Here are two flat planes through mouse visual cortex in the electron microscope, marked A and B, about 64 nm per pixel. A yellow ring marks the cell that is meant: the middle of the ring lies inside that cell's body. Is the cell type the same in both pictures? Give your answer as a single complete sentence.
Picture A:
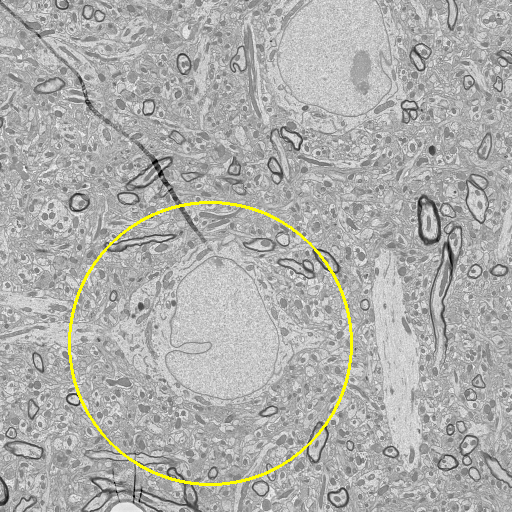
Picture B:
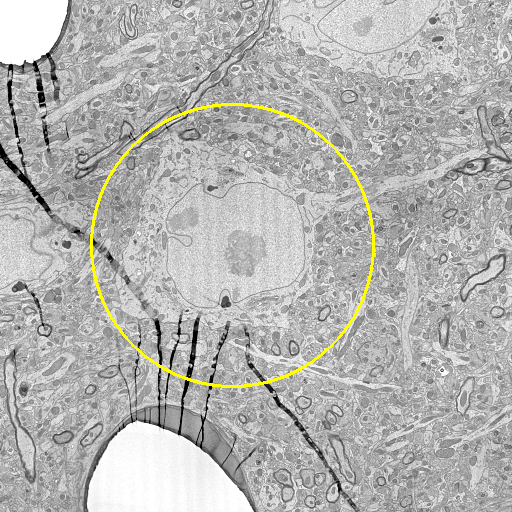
Yes; the cells in both pictures are excitatory neurons.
